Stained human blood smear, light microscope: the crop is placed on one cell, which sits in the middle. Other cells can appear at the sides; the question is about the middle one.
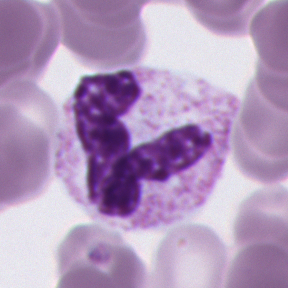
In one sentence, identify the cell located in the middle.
Standing at the centre of this crop is a segmented neutrophil.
